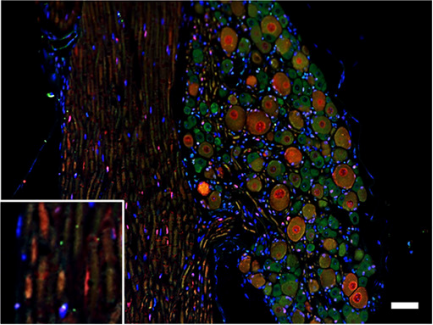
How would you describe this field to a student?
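Dorsal root ganglion beside its nerve root. On the right, many large round neuronal cell bodies of varying size are packed together, their cytoplasm faintly green with red-orange centres in some, and each ringed by small blue nuclei of surrounding satellite cells. On the left, the nerve root appears as a bundle of long parallel fibres with elongated red-orange profiles and scattered elongated blue nuclei lying along them; the inset enlarges these longitudinal fibres. Small blue nuclei are also scattered in the connective tissue at the margins.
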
